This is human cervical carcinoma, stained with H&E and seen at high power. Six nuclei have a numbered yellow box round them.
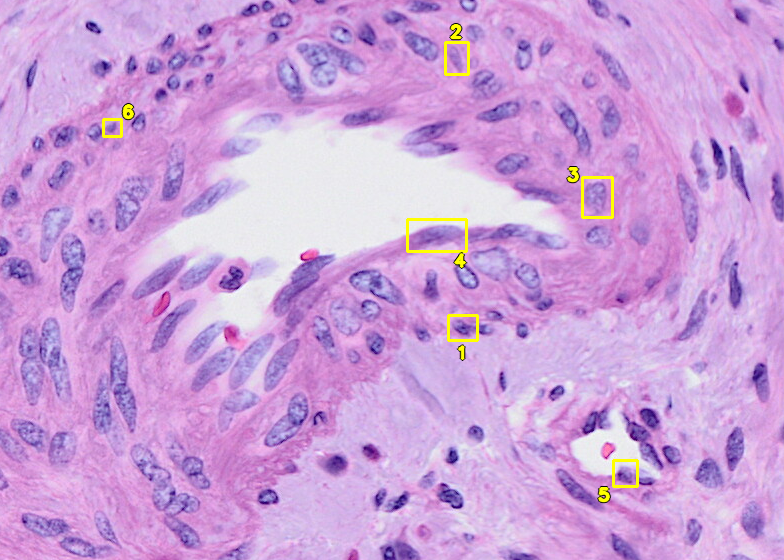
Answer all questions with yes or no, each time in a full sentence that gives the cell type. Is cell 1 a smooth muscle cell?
Yes, the cell corresponding to number 1 is a smooth muscle cell.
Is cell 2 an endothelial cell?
No, rather than an endothelial cell, cell number 2 is a smooth muscle cell.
